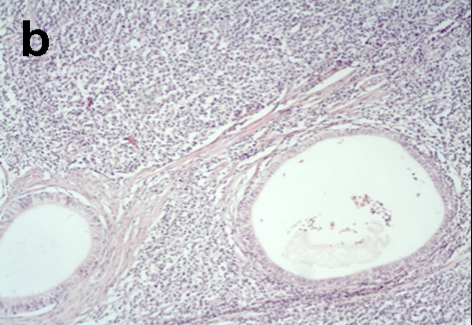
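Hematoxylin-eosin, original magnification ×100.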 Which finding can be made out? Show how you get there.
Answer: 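Dense cellular infiltrate. Sheets of closely packed small cells with dark nuclei fill the space between the tubules.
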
